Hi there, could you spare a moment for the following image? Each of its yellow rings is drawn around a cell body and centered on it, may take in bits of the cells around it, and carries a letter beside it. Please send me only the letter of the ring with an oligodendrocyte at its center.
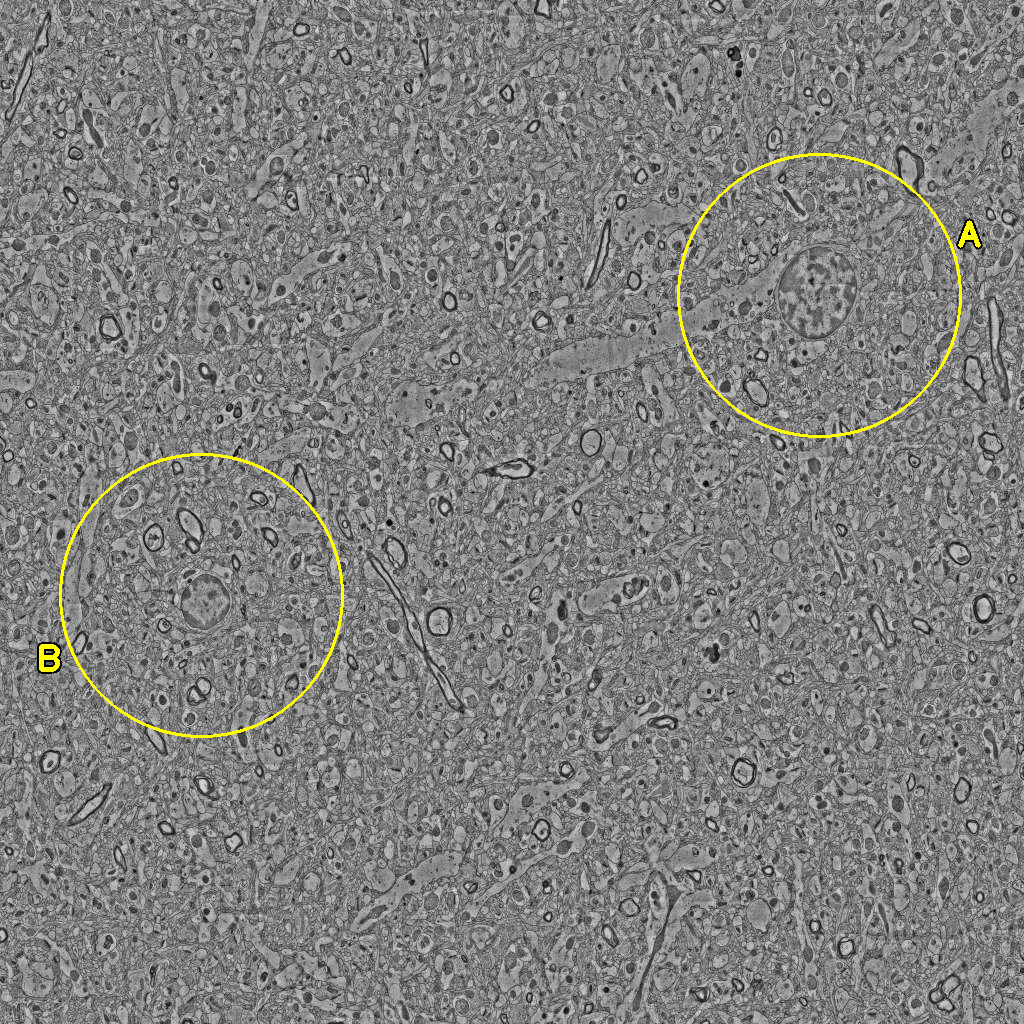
A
